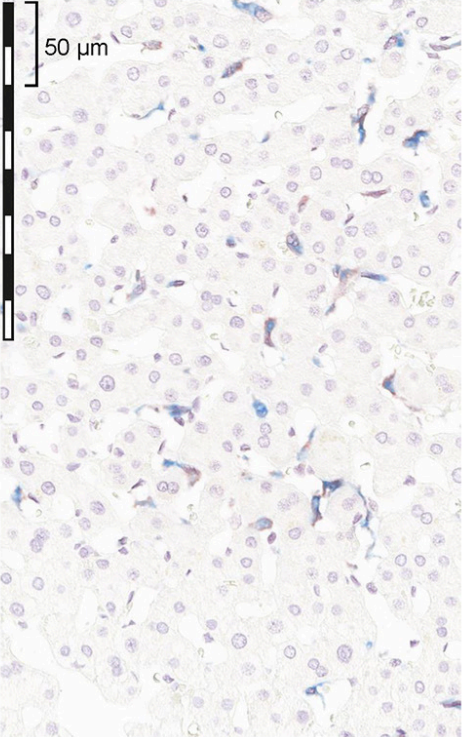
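Here are liver hepatocytes in plates, large polygonal cells with pale cytoplasm and round purple nuclei, some with a visible nucleolus. In the narrow spaces between the plates lie small, irregular, elongated cells. Some are stained blue, some are brownish, and some carry both colours.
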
